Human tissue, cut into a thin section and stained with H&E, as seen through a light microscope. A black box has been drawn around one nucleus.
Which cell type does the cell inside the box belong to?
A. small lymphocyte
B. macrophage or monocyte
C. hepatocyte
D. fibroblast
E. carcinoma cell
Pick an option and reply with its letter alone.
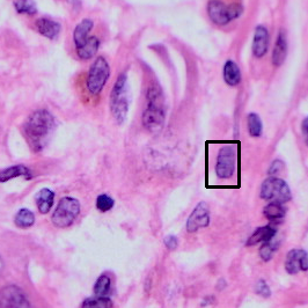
B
